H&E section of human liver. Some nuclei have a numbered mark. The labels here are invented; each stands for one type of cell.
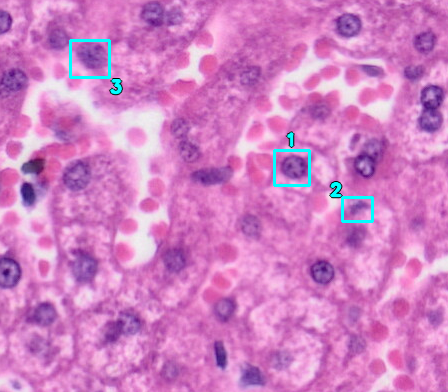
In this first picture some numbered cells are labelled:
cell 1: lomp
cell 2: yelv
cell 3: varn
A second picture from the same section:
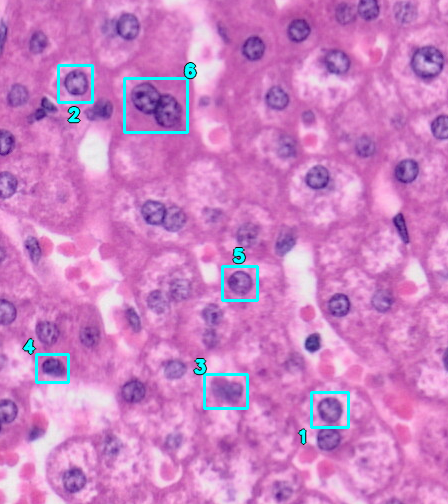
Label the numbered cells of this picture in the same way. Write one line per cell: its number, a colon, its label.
1: lomp
2: lomp
3: varn
4: yelv
5: lomp
6: lomp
